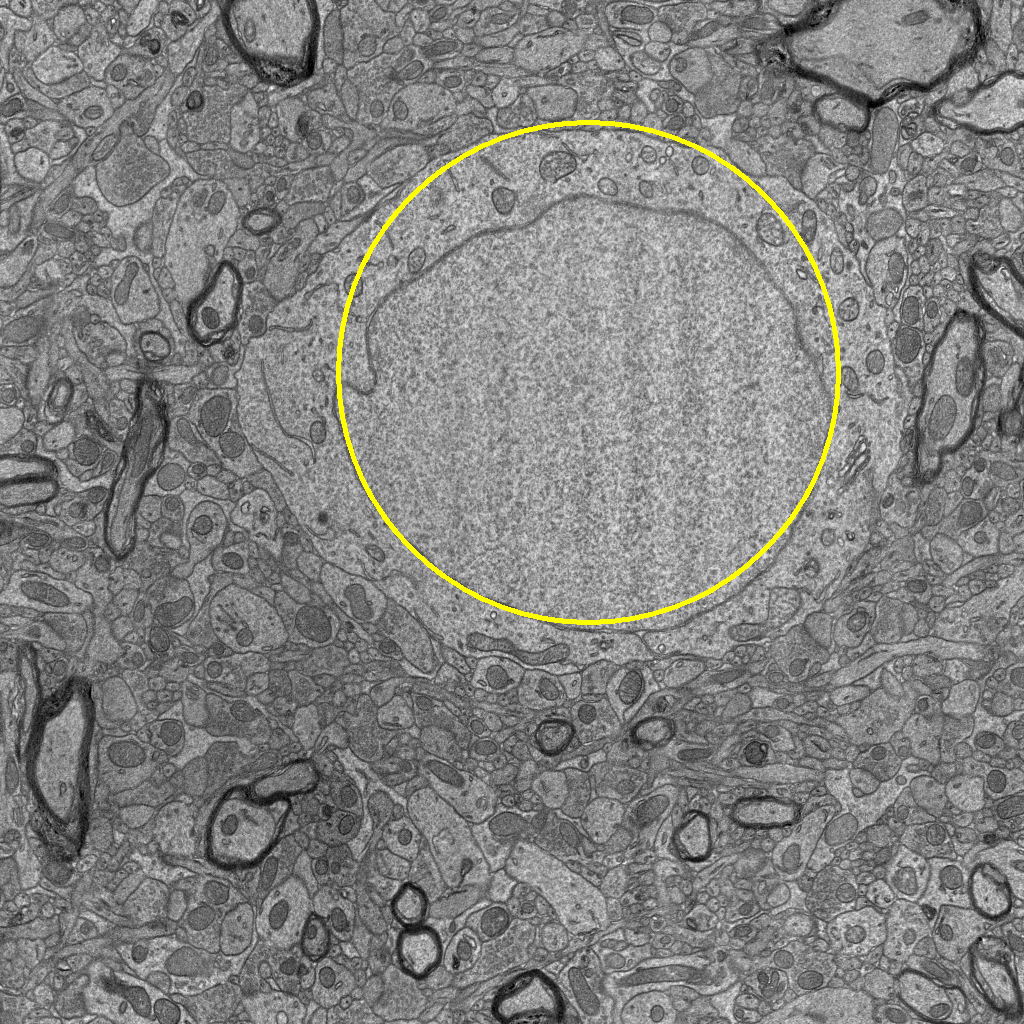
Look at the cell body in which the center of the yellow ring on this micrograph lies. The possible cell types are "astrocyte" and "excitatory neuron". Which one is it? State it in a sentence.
The cell at the middle of the ring is an excitatory neuron.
